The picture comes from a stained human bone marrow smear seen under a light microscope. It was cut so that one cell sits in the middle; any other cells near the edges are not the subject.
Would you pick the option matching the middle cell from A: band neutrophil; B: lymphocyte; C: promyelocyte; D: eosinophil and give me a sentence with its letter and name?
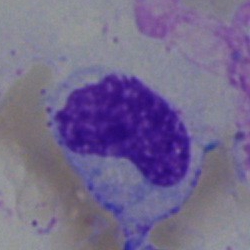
The correct identification, given in option A, is that the central cell is a band neutrophil.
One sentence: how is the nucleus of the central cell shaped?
What stands out is a nucleus forming one compact round, oval or kidney-shaped mass.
